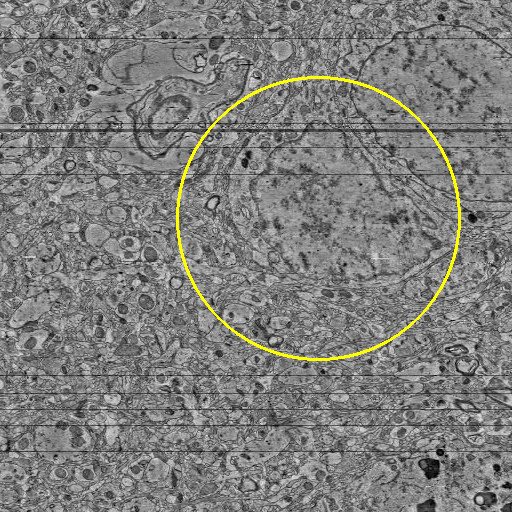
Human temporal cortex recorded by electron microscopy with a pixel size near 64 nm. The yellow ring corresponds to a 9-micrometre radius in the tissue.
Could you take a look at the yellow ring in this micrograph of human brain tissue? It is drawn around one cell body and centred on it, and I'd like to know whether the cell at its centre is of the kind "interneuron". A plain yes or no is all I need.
yes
